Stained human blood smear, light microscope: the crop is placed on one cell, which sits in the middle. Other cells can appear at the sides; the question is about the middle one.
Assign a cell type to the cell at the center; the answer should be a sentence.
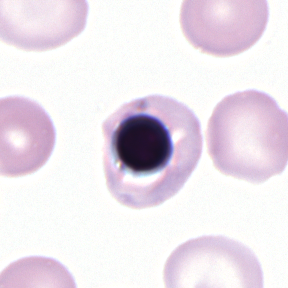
The cell around which this crop is centred is an erythroblast.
